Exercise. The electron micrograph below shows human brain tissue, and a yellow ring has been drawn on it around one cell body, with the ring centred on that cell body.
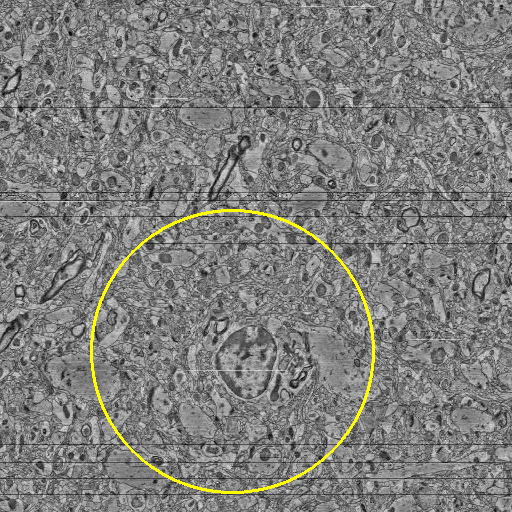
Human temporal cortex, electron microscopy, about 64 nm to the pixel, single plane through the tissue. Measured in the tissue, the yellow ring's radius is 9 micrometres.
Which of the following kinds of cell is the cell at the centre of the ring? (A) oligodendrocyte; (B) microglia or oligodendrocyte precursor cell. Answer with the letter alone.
B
